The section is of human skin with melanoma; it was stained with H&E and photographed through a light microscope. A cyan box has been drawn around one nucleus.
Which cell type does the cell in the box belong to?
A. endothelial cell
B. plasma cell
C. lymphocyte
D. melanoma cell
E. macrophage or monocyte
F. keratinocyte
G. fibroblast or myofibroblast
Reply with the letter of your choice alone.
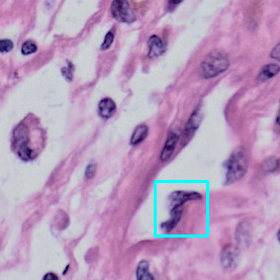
A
